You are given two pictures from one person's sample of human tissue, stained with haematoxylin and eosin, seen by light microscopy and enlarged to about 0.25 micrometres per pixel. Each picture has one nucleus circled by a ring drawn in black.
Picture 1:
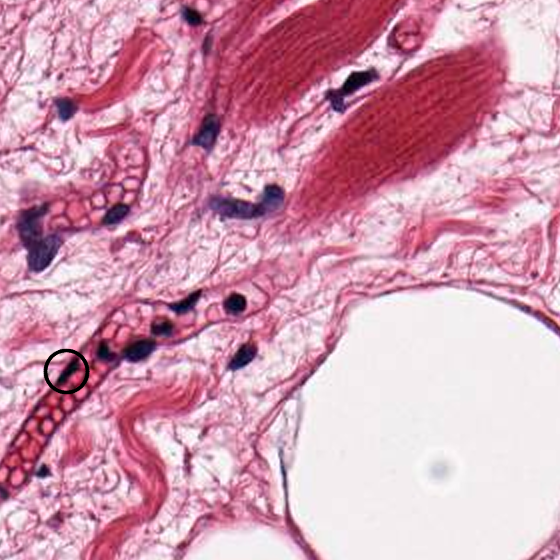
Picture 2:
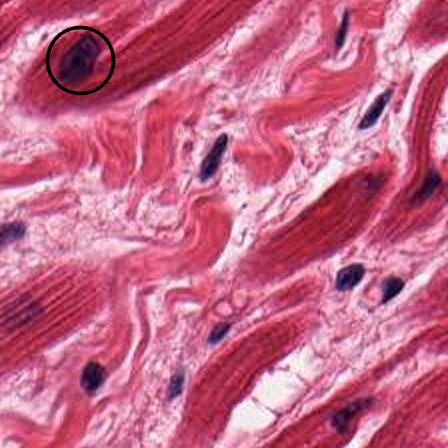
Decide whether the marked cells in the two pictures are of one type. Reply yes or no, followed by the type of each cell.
No, the first is an endothelial cell and the second a cardiomyocyte.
